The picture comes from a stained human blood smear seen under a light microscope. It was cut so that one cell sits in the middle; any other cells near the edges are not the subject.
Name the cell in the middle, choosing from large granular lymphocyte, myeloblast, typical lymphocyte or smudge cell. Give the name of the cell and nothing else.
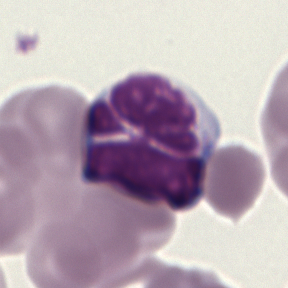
large granular lymphocyte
